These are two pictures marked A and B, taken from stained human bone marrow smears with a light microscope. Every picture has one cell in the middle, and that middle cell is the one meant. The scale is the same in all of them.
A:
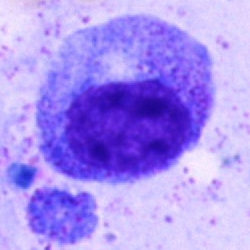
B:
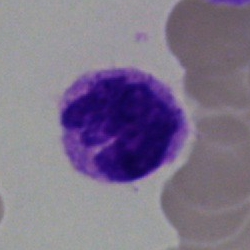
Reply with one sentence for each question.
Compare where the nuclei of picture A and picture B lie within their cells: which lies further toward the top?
The nucleus in picture B lies further toward the top of its cell.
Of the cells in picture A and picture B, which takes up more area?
Picture A holds the larger cell; it covers about 2 times the area of the cell in picture B.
